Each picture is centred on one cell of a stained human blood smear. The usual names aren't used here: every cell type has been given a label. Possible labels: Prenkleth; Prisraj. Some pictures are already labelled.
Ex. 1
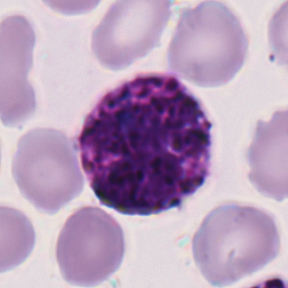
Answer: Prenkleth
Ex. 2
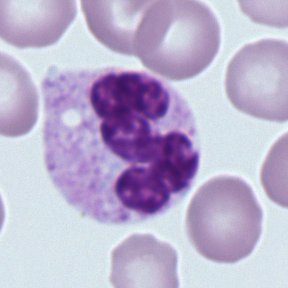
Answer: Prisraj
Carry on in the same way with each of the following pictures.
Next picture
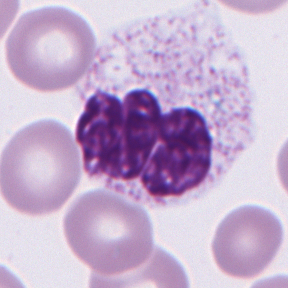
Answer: Prisraj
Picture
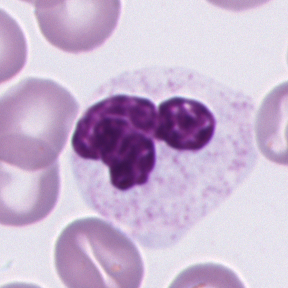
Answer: Prisraj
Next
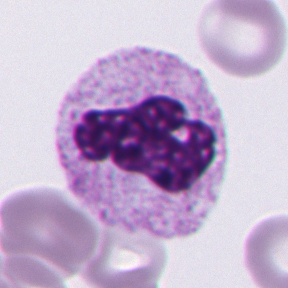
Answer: Prisraj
